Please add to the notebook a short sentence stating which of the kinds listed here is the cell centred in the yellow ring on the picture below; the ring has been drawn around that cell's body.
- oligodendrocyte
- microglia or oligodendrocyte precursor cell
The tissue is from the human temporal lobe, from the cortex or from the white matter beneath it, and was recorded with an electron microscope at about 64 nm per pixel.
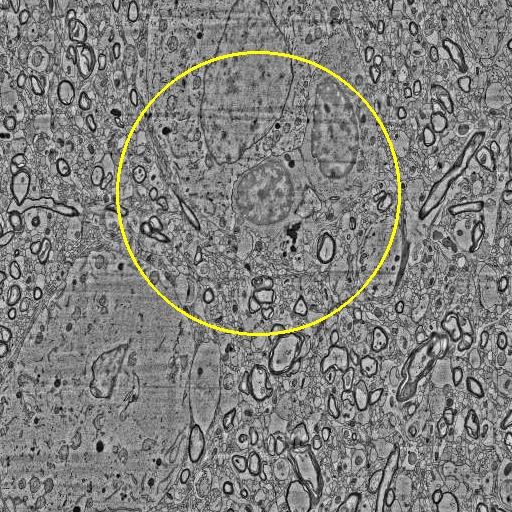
The cell centred in the yellow ring is an oligodendrocyte.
